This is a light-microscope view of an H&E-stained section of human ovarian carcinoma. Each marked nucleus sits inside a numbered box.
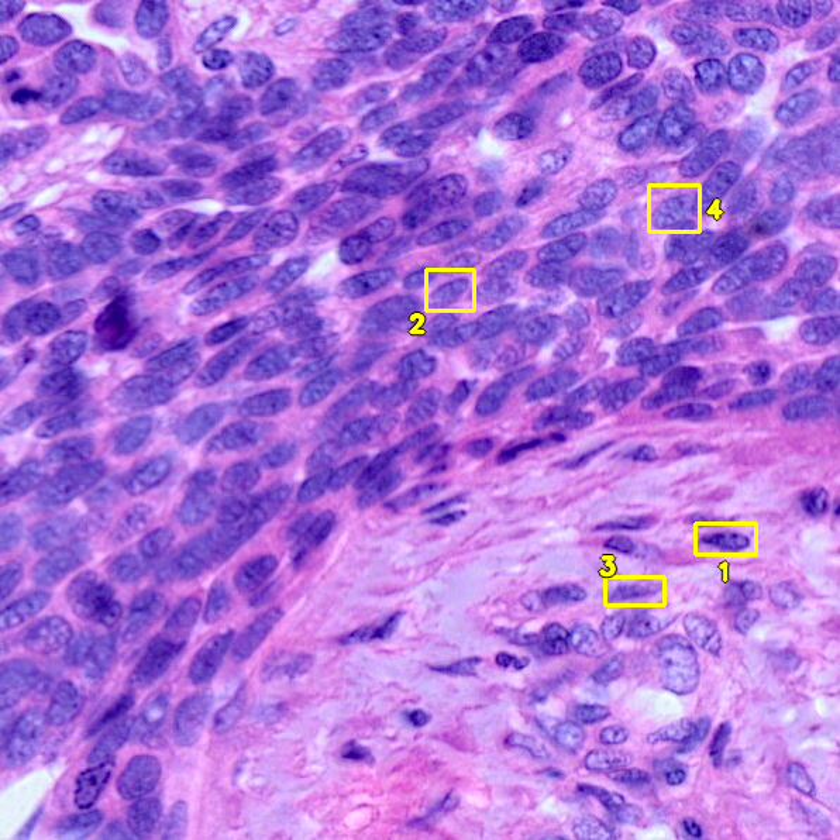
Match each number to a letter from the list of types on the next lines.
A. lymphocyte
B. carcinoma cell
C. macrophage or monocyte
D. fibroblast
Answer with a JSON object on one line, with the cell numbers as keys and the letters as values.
{"1": "C", "2": "B", "3": "D", "4": "B"}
